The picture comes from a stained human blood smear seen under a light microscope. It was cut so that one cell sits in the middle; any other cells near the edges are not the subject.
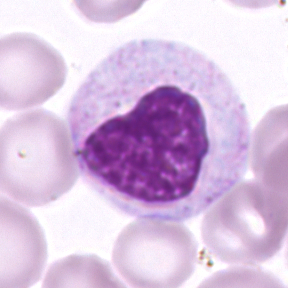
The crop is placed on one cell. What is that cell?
metamyelocyte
